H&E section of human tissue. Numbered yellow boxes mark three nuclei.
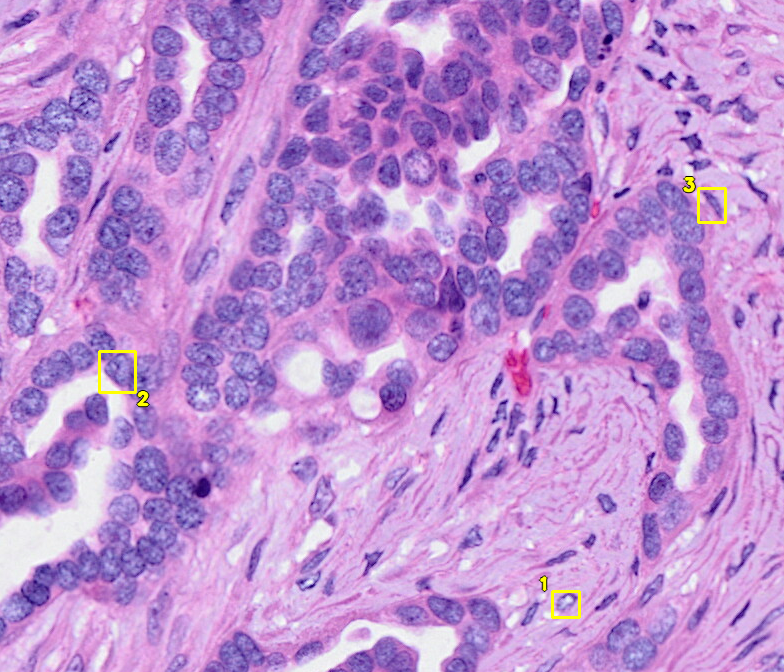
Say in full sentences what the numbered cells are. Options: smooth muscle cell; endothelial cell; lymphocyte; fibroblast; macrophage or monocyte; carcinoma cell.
Cells 1 and 3 are fibroblasts. Cell 2 is a carcinoma cell.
